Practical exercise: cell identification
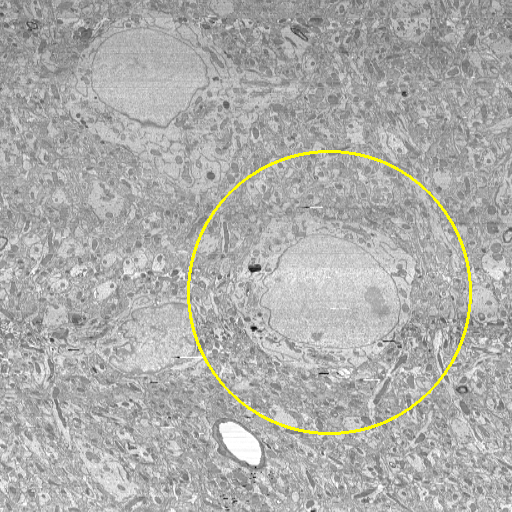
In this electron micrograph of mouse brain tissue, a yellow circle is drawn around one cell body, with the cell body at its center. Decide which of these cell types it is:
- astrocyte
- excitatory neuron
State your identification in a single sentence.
The ringed cell is an excitatory neuron.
